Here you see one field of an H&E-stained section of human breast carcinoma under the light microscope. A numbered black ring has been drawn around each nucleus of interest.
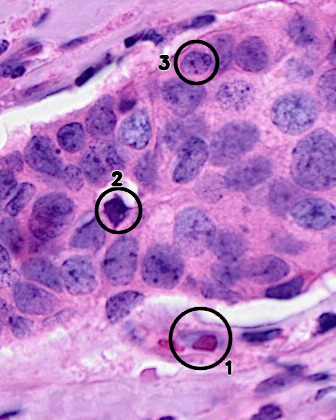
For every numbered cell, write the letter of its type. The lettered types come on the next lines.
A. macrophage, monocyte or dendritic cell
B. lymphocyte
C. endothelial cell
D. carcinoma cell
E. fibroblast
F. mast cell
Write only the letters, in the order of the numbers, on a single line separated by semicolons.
C; D; D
